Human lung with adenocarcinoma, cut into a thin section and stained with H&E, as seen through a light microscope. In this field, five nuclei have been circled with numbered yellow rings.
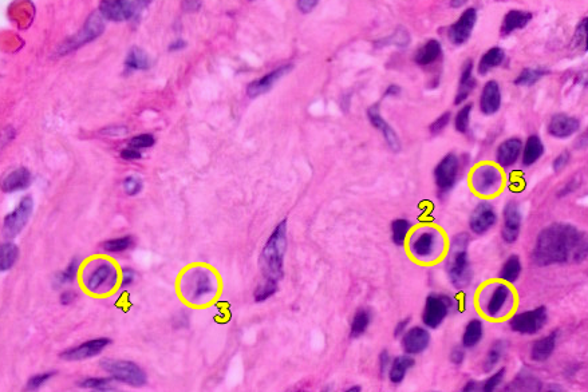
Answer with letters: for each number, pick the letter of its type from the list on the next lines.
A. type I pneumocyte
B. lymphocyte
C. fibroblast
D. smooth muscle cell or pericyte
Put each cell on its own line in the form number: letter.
1: B
2: B
3: C
4: D
5: B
